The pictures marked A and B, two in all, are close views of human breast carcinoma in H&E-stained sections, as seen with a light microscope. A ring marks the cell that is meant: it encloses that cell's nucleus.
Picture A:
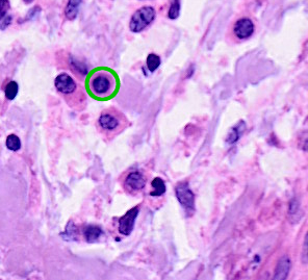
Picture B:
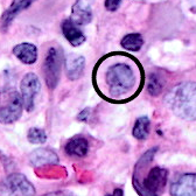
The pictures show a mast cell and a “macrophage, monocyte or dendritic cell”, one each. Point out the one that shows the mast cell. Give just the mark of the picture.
A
